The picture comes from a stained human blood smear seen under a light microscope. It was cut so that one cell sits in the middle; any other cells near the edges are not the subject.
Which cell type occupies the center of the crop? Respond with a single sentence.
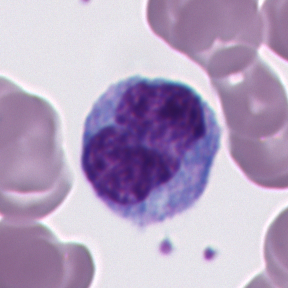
The cell shown in the center of this light-microscope crop is a monocyte.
